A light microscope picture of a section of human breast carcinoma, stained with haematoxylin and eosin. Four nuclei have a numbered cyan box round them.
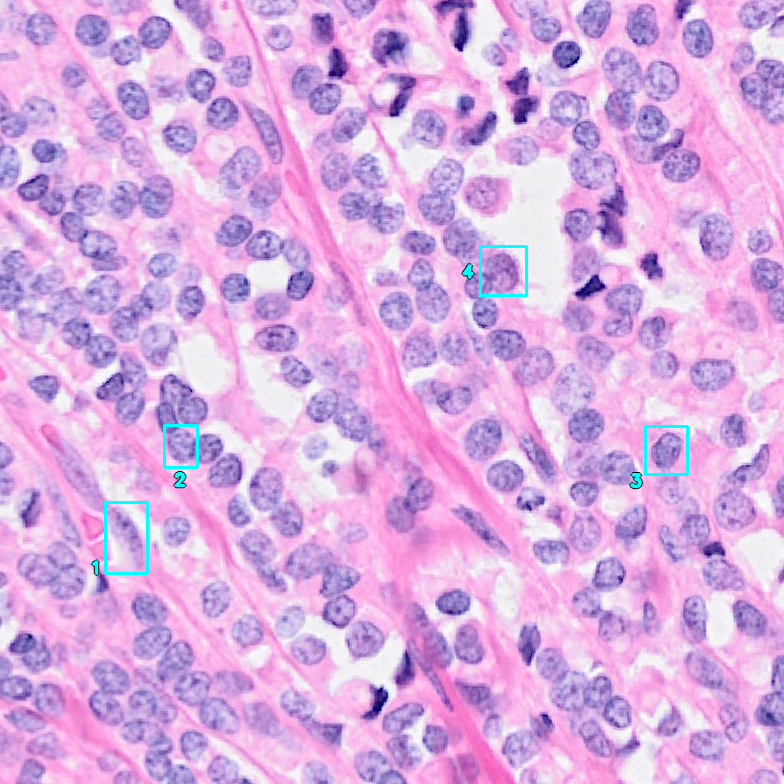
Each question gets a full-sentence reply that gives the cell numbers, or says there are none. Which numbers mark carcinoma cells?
The cells numbered 2, 3 and 4 are, by type, carcinoma cells.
